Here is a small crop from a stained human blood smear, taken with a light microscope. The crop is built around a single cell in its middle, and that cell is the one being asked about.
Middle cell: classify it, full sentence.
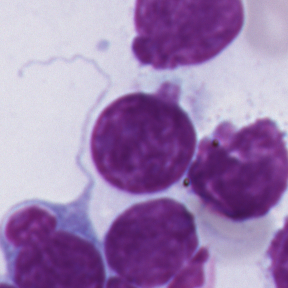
The centrally placed cell is classified as a blast.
